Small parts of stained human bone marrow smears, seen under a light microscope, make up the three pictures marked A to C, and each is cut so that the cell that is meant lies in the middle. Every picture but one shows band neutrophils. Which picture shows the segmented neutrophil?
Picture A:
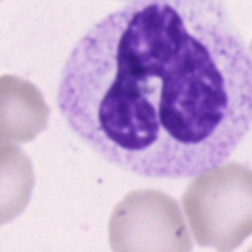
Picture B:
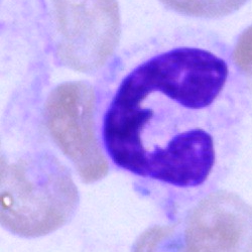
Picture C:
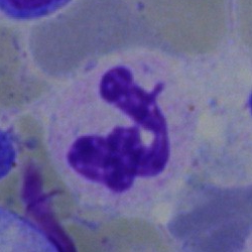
C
